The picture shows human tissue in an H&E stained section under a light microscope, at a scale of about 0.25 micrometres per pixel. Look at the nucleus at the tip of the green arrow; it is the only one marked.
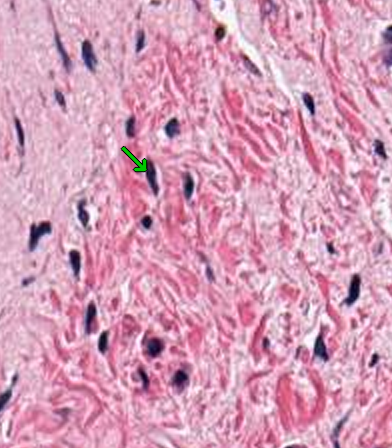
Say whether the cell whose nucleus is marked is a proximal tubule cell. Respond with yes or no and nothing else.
no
